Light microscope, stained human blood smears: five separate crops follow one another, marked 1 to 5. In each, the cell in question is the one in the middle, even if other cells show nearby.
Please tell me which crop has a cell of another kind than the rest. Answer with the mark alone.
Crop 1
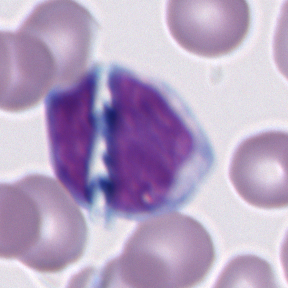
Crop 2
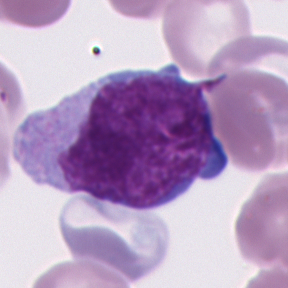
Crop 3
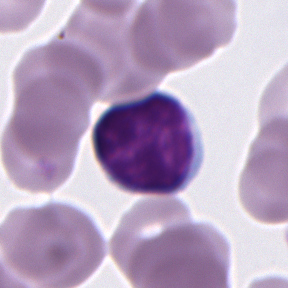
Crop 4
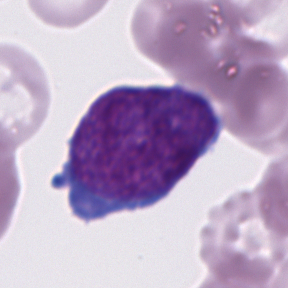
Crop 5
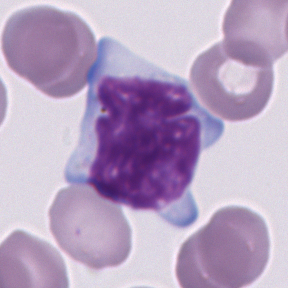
3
